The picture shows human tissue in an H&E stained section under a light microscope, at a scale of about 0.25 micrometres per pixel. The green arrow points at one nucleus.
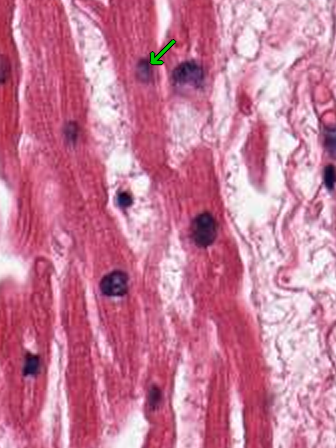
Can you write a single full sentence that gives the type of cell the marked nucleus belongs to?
The marked nucleus belongs to a cardiomyocyte.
